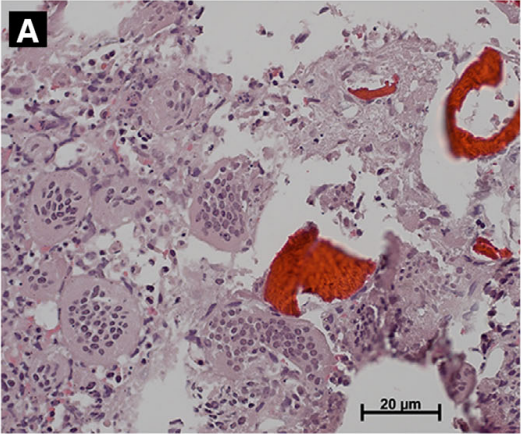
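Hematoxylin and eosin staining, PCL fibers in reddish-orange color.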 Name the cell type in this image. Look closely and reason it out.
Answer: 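Large rounded cells hold dozens of small nuclei clustered together. Their cytoplasm is pale pink and abundant. Smaller single-nucleated cells lie between them. So: multinucleated giant cells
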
